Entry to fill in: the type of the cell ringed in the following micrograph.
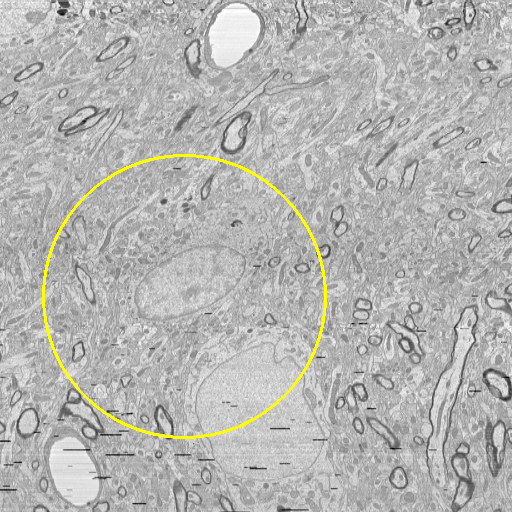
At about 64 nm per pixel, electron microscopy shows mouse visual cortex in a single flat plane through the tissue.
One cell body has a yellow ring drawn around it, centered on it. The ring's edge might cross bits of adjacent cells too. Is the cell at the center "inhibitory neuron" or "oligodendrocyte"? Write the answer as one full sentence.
This entry names an oligodendrocyte as the cell whose body lies at the ring's center.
